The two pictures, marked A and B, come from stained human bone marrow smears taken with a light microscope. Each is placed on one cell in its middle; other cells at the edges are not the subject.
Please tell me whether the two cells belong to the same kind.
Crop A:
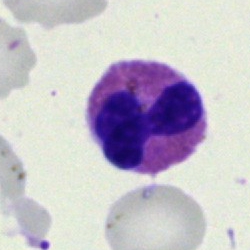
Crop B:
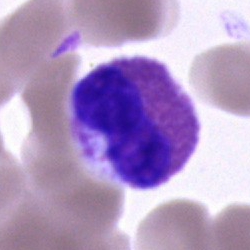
yes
